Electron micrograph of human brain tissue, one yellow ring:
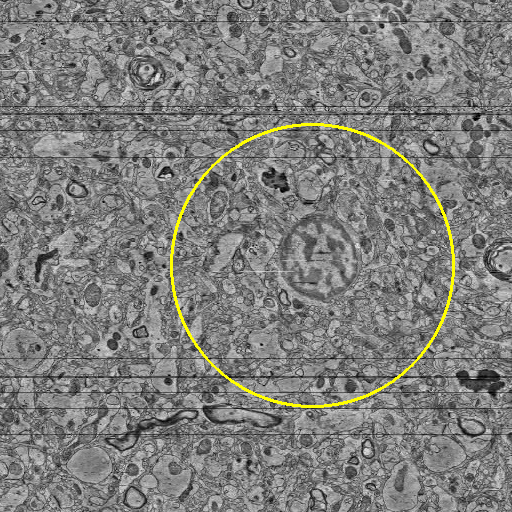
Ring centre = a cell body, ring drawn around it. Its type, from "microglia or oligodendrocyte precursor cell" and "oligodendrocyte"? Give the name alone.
oligodendrocyte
